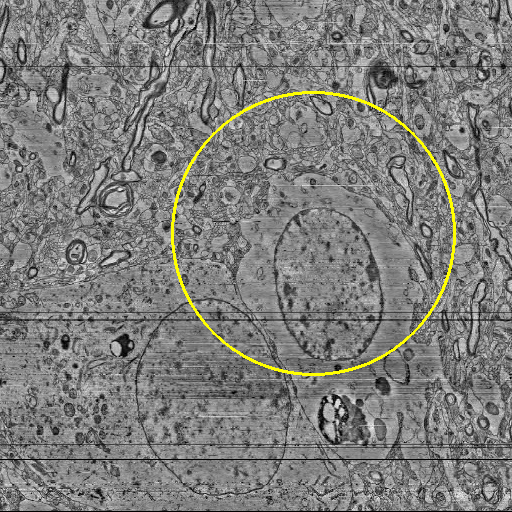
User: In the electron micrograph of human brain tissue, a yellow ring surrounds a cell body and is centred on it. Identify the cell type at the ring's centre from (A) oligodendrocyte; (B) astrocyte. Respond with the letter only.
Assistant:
B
